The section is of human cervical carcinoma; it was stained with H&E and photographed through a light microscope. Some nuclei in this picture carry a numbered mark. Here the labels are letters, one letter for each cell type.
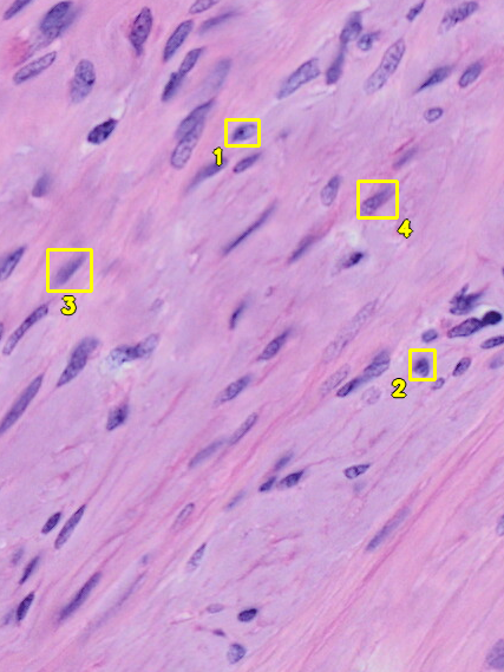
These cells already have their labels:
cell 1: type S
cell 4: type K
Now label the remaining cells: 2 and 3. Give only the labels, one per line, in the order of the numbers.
type S
type S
